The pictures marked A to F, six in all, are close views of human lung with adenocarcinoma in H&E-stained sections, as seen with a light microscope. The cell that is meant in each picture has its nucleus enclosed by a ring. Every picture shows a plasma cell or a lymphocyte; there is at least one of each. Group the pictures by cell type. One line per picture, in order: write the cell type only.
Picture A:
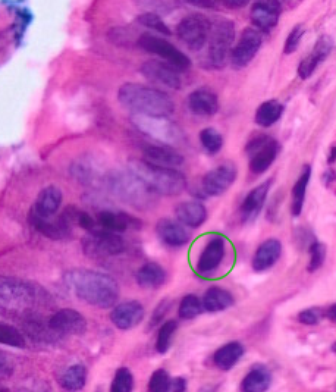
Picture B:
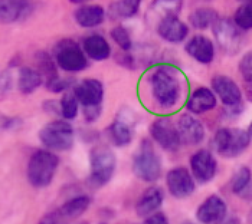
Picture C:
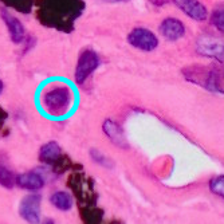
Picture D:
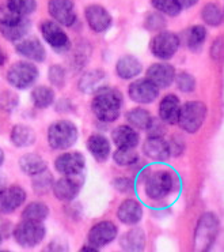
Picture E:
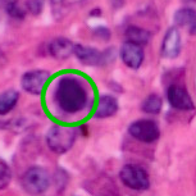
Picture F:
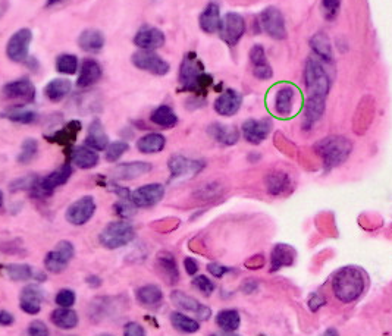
plasma cell
lymphocyte
plasma cell
lymphocyte
plasma cell
lymphocyte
